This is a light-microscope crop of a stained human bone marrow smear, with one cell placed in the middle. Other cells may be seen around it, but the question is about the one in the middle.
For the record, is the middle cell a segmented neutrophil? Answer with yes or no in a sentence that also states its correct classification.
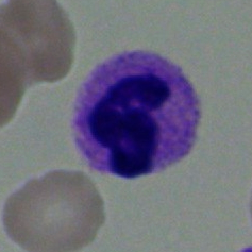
Yes, within this crop, the central cell is a segmented neutrophil.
